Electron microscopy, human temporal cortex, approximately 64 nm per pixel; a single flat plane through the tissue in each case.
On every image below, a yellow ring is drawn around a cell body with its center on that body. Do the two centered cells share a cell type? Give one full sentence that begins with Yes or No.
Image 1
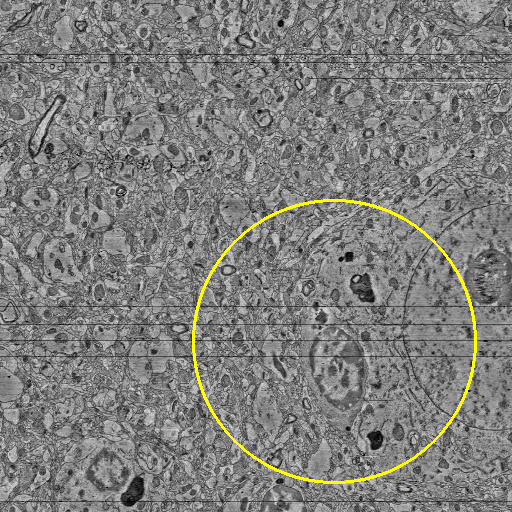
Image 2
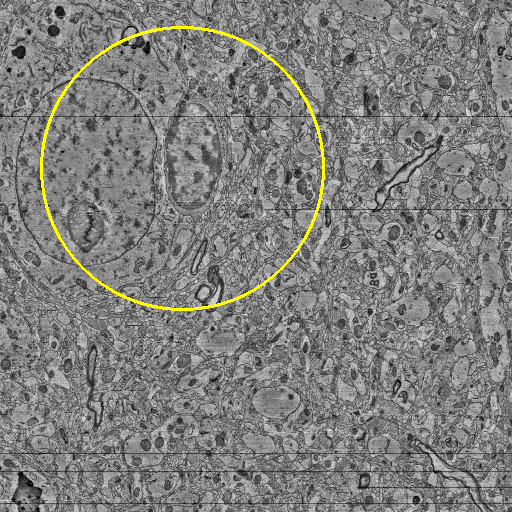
Yes, the centered cells in the two images are of a single cell type.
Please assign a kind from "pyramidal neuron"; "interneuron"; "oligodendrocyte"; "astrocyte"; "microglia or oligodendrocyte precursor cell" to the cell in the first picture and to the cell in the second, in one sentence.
The cell in the first picture is an oligodendrocyte, and so is the one in the second.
